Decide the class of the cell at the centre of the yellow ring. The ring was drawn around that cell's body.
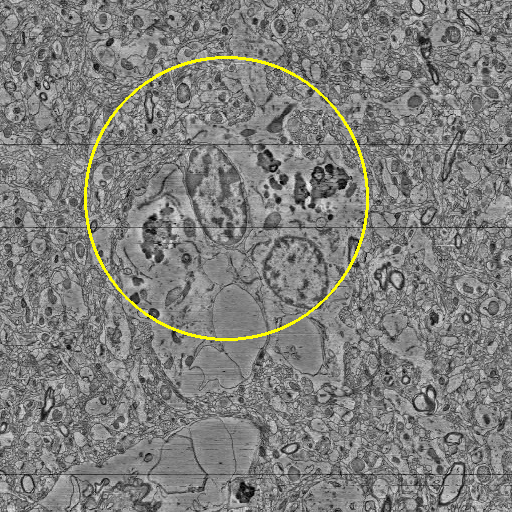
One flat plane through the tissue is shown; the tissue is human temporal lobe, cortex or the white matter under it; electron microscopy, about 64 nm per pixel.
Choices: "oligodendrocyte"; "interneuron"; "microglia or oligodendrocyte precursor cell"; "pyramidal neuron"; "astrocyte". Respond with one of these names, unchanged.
microglia or oligodendrocyte precursor cell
